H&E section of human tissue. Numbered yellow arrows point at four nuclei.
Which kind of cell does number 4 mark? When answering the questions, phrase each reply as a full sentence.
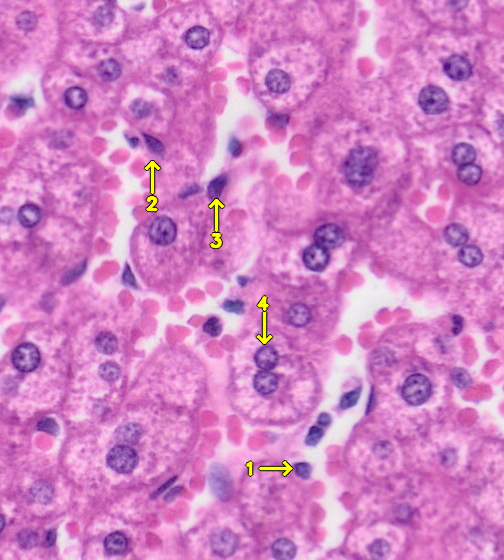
Number 4 is placed on a hepatocyte here.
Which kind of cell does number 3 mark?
The nucleus labelled 3 belongs to a Kupffer cell.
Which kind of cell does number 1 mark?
Within this field of view, the cell labelled 1 is a lymphocyte.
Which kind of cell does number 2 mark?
Here, the cell given the number 2 is a fibroblast or stellate cell.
